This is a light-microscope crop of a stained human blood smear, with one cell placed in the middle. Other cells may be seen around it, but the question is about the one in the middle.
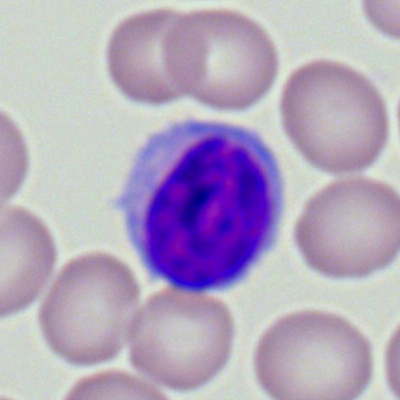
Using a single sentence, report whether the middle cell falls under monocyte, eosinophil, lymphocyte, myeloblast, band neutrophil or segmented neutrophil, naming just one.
The central cell in this smear crop is a lymphocyte.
